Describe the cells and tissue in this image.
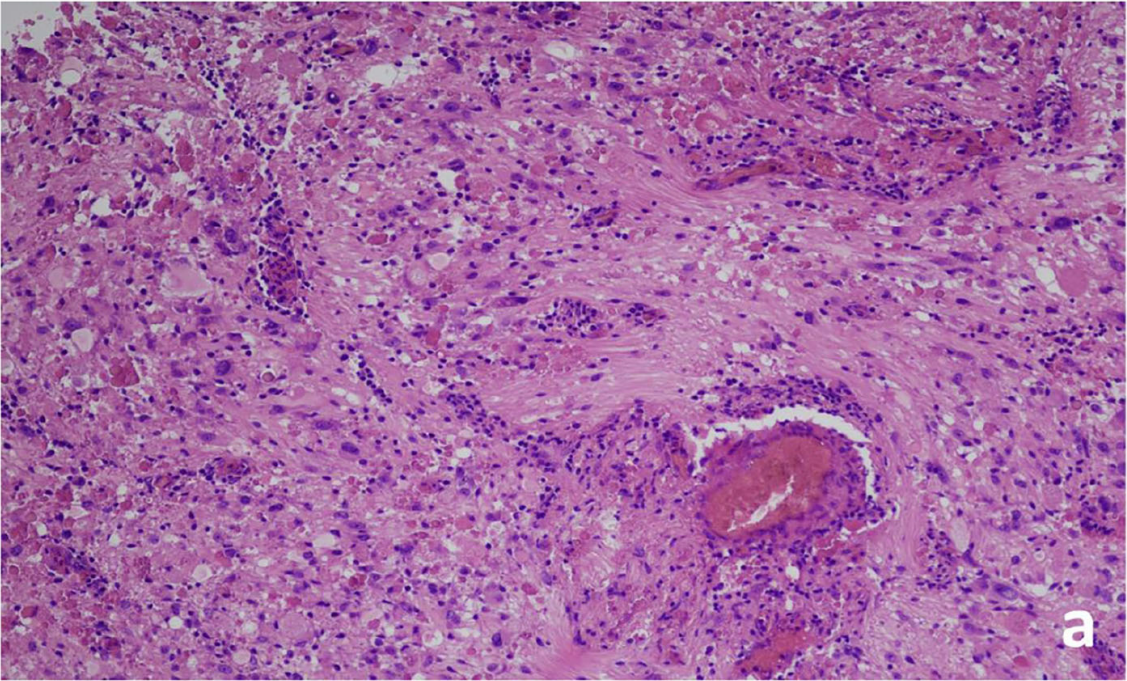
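This tumour tissue holds pleomorphic cells with nuclei of varied size and shape, in a pink fibrillary stroma with scattered rounded bright pink granular bodies. Blood vessels are cuffed by dense bands of small round dark lymphocytes.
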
